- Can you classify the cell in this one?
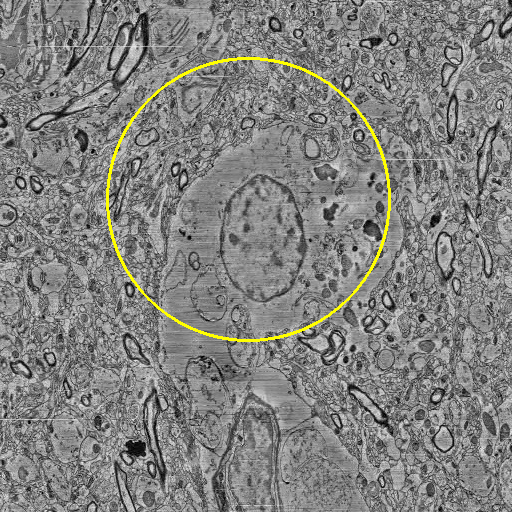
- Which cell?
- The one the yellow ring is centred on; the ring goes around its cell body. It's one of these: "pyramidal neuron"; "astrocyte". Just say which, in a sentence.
The cell body in the ring belongs to an astrocyte.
